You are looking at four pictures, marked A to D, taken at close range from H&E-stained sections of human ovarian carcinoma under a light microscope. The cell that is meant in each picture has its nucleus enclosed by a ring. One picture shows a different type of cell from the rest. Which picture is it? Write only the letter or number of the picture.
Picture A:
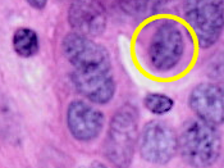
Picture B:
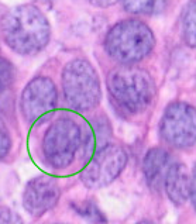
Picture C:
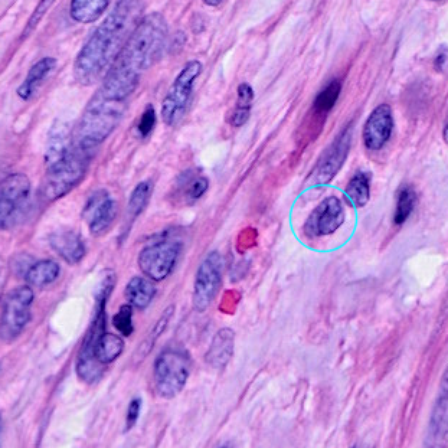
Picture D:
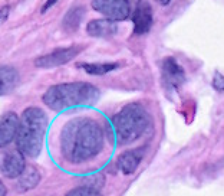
C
